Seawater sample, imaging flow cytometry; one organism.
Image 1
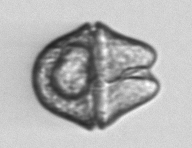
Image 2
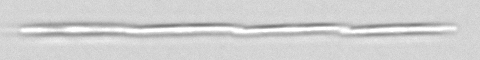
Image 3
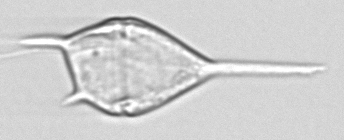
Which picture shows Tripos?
Picture 3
